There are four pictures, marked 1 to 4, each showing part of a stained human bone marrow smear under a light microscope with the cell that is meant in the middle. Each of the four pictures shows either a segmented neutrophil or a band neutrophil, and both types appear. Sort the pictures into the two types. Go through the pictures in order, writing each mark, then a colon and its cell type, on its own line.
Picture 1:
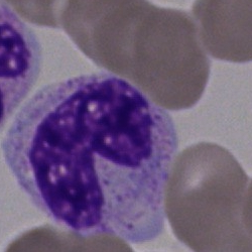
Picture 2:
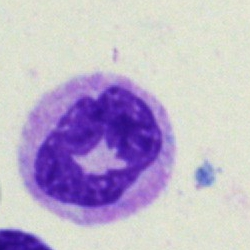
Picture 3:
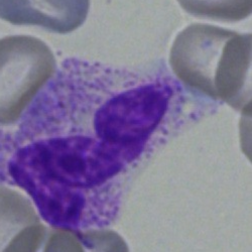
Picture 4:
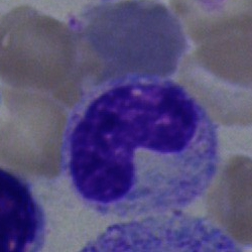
1: band neutrophil
2: segmented neutrophil
3: band neutrophil
4: band neutrophil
